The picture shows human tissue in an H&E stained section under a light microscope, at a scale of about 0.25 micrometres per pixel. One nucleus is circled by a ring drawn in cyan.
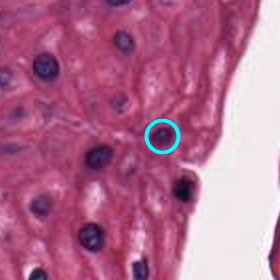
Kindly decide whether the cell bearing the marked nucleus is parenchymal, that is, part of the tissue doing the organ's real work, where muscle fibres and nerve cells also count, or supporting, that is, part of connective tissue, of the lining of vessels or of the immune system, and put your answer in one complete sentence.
The marked nucleus belongs to the parenchyma, being the nucleus of a squamous epithelial cell.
